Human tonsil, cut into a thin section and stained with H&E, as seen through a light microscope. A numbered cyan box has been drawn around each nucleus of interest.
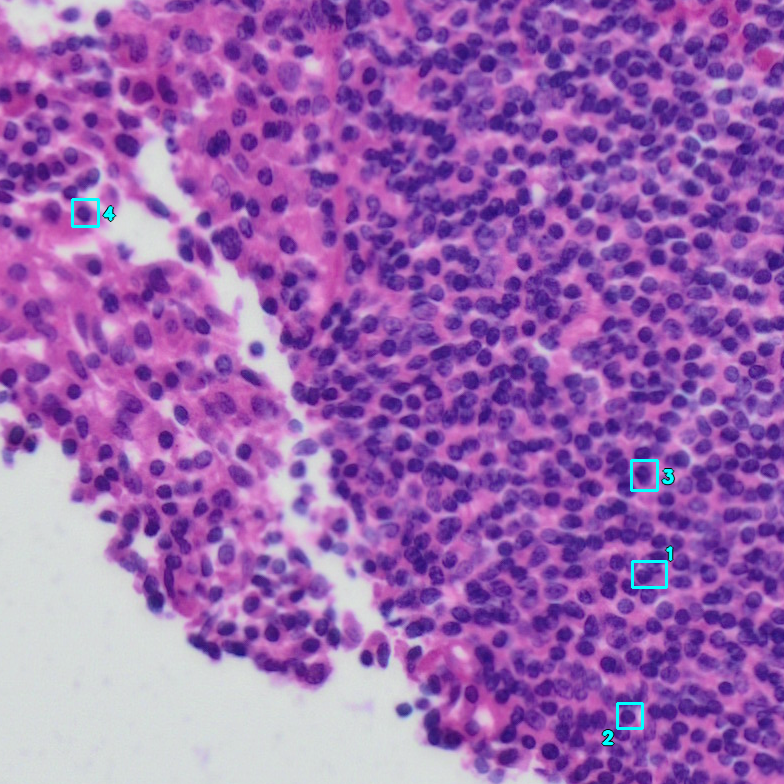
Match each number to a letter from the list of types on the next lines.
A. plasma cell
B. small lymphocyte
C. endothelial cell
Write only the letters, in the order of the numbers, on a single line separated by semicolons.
B; B; B; A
